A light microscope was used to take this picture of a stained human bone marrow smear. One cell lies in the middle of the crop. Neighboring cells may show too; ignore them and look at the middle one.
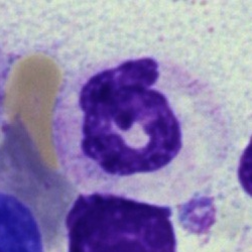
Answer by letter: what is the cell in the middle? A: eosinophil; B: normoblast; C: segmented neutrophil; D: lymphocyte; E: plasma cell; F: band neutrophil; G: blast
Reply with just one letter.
C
